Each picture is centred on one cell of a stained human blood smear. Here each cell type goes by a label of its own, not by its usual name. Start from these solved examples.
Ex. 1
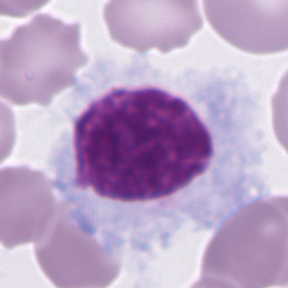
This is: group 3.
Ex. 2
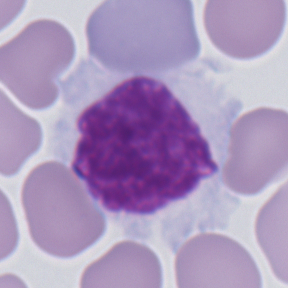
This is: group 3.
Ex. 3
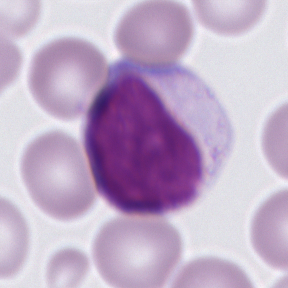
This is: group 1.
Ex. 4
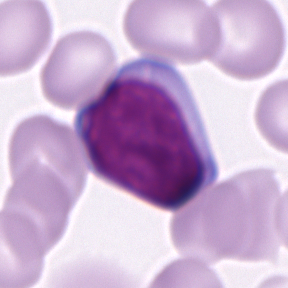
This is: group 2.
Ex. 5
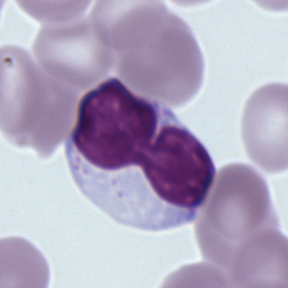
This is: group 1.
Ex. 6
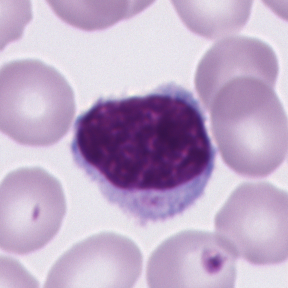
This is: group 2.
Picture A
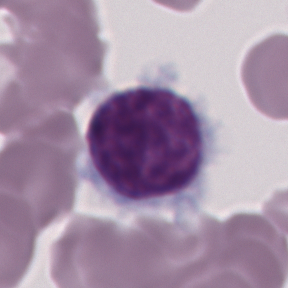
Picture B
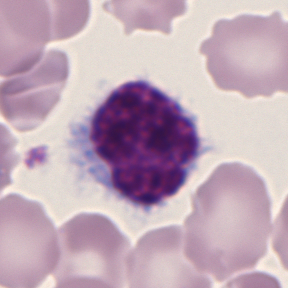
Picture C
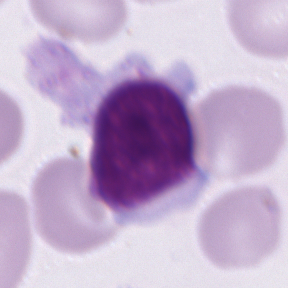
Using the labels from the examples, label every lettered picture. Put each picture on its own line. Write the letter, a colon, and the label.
A: group 3.
B: group 3.
C: group 1.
